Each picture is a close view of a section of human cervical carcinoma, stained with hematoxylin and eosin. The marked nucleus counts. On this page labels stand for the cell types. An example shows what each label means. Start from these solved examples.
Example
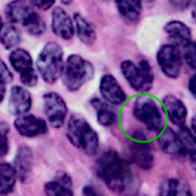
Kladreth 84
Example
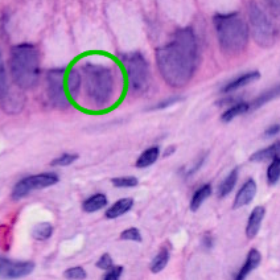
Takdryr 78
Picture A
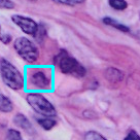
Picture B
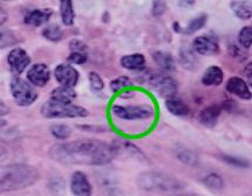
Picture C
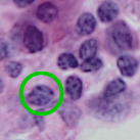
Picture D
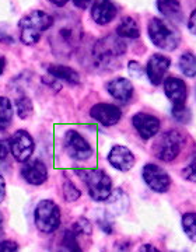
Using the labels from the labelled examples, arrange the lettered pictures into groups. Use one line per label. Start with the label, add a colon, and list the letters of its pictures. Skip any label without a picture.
Kladreth 84: A, B, C, D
